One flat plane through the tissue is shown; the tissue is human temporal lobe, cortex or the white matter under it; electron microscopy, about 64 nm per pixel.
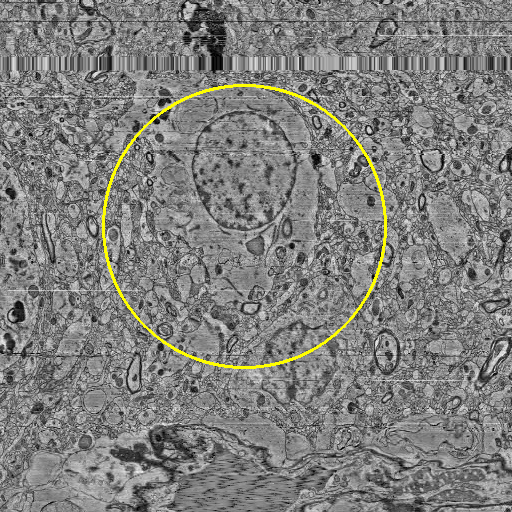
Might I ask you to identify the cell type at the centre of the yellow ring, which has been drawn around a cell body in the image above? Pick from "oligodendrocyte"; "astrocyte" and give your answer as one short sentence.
The centre of the ring falls on an astrocyte.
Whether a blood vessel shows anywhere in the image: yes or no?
Yes, a blood vessel is present in this picture.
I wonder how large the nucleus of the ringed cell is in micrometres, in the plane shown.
In this plane the nucleus spans approximately 8 by 7 micrometers.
